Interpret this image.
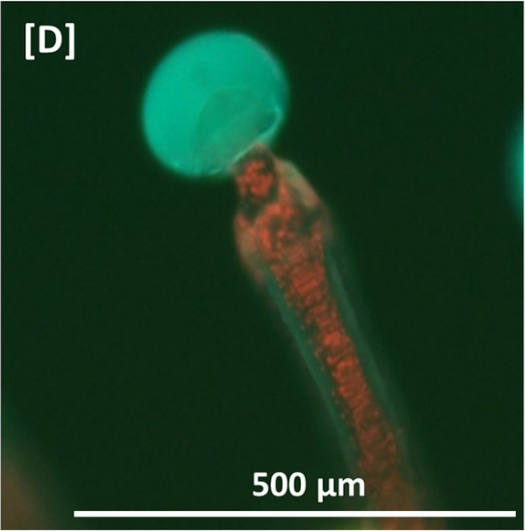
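A single capitate stalked glandular trichome stands against a dark background: a large round head glowing cyan-green sits on top of a long, narrower stalk. The head appears intact and smooth, with a faint inner outline. Where head and stalk meet the stalk narrows to a short neck.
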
